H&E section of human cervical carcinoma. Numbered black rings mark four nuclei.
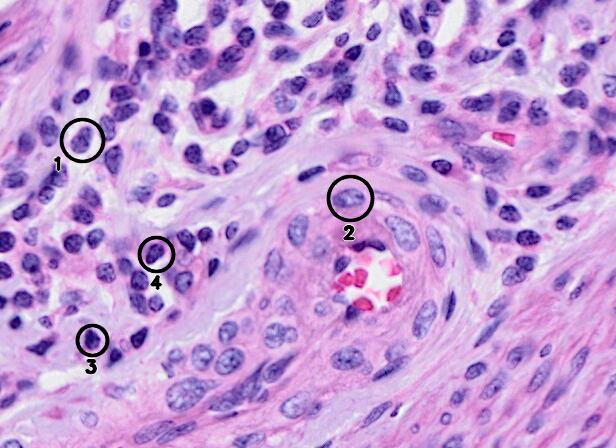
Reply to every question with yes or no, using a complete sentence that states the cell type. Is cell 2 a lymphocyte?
No, number 2 is not a lymphocyte but a smooth muscle cell.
